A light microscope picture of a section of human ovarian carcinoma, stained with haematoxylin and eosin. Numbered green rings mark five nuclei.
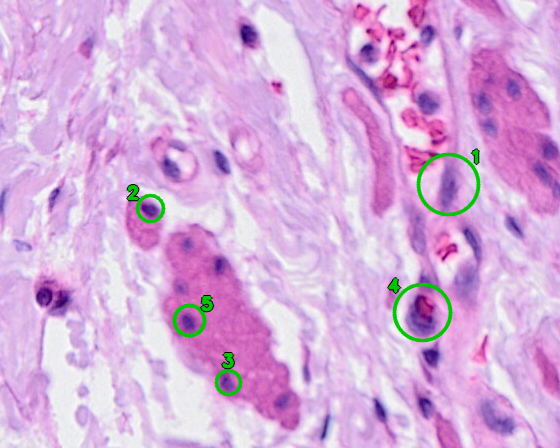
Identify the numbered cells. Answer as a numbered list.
1. endothelial cell
2. smooth muscle cell
3. smooth muscle cell
4. endothelial cell
5. smooth muscle cell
